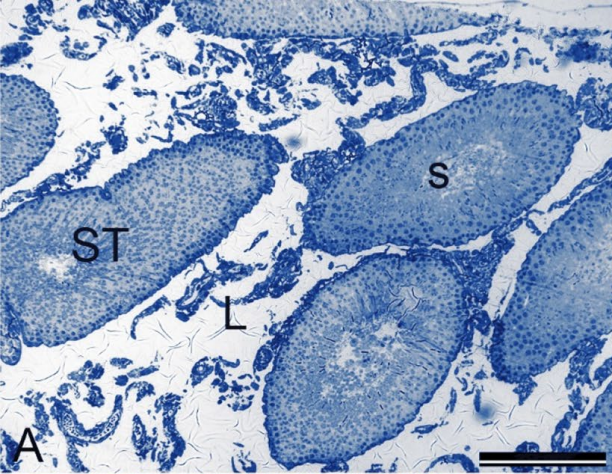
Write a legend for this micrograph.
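Low-magnification section of seminiferous tubules cut in oblique and cross section, each lined by a thick, multilayered epithelium of blue-stained nuclei surrounding a paler central lumen. Loose interstitial tissue with scattered cells and strands fills the spaces between the tubules. Fine dark streaks radiating toward the lumen of some tubules correspond to spermatozoa.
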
